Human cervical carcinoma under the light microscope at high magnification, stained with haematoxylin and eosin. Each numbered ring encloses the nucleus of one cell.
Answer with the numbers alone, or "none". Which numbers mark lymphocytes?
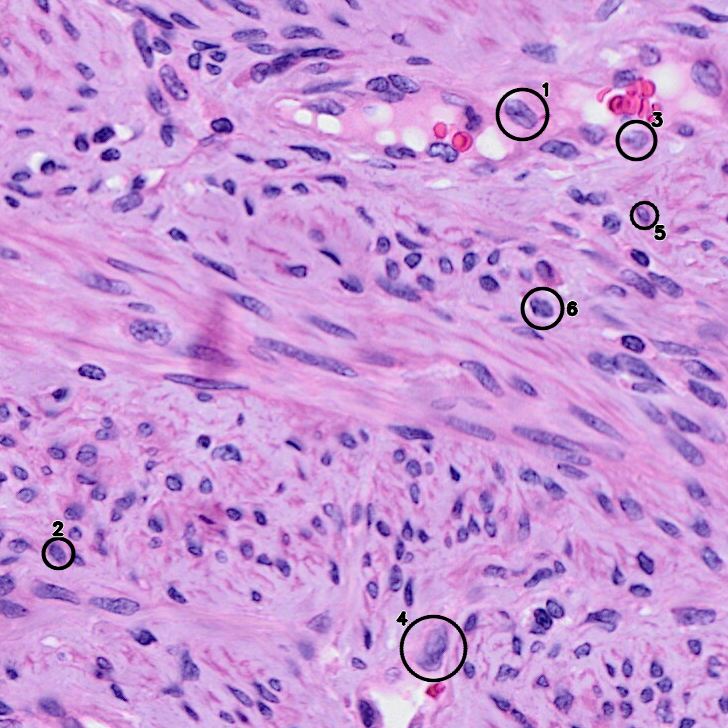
6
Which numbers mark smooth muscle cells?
2, 5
